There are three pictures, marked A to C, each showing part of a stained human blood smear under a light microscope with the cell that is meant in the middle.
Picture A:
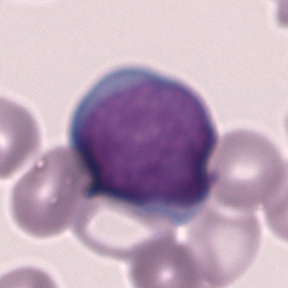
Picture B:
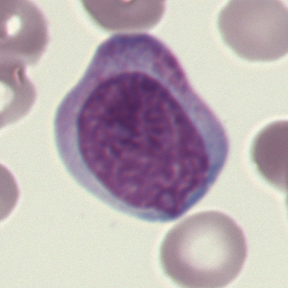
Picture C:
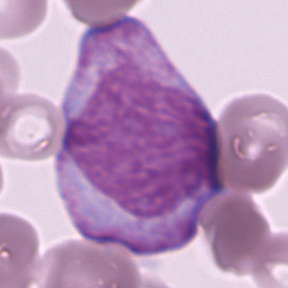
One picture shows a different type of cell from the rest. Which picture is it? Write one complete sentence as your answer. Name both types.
Picture A differs, because its cell is a myeloblast and the rest are atypical promyelocytes.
